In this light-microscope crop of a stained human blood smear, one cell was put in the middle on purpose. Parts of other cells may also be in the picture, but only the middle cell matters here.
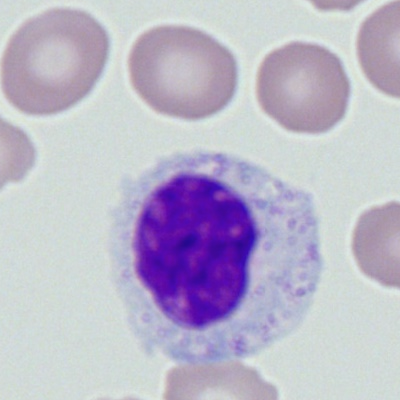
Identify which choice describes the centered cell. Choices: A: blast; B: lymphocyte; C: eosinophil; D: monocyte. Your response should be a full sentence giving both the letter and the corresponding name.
This one is option B, since the cell at the center is a lymphocyte.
